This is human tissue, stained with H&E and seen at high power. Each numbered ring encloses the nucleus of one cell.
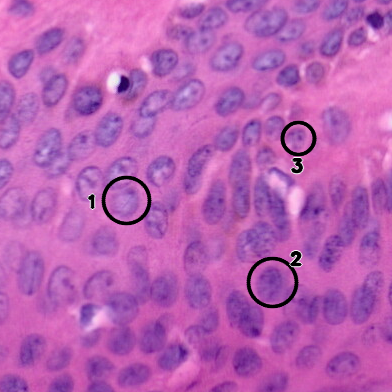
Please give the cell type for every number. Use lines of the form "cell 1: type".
cell 1: suprabasal keratinocyte
cell 2: suprabasal keratinocyte
cell 3: basal keratinocyte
